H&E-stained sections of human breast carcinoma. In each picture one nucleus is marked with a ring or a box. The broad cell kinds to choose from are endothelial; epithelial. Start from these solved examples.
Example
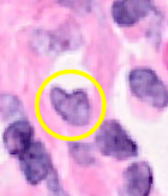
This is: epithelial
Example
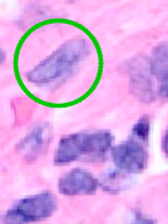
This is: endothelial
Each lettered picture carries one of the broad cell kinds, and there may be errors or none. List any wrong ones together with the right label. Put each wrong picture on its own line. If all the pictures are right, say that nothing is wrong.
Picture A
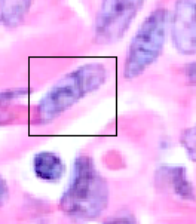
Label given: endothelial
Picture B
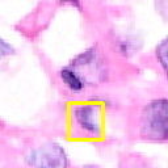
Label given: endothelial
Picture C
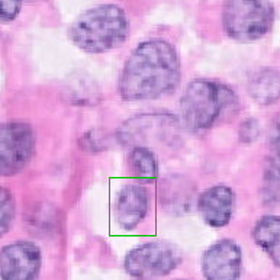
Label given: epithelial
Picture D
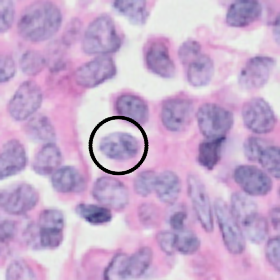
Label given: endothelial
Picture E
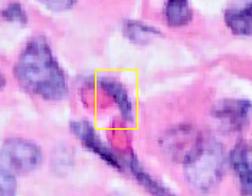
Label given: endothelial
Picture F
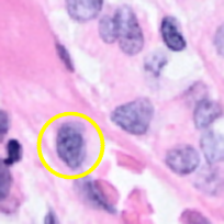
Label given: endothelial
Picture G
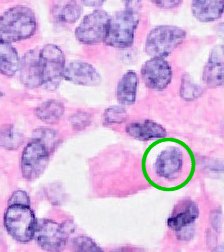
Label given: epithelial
D should be epithelial, not endothelial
